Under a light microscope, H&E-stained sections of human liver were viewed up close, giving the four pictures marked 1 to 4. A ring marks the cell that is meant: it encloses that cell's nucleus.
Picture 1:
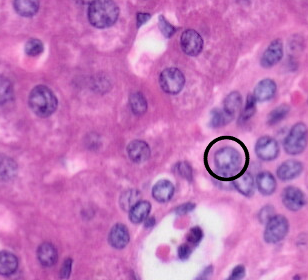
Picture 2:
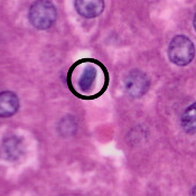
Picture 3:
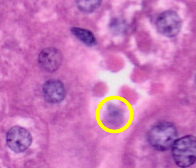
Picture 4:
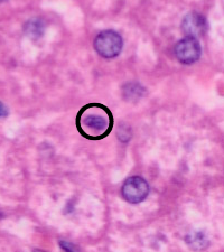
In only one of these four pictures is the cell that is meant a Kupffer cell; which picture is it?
3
